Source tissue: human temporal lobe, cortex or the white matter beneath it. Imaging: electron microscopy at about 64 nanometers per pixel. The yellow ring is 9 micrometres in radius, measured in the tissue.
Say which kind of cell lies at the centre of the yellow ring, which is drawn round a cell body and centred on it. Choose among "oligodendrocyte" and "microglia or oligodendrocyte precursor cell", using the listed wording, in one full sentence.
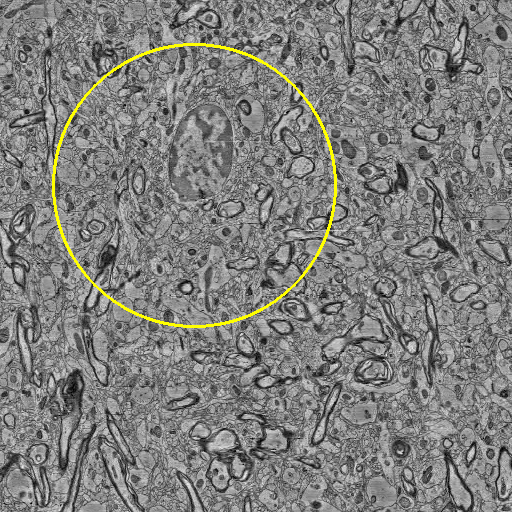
Going by the list, the cell at the yellow ring's centre is a microglial cell or oligodendrocyte precursor cell.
